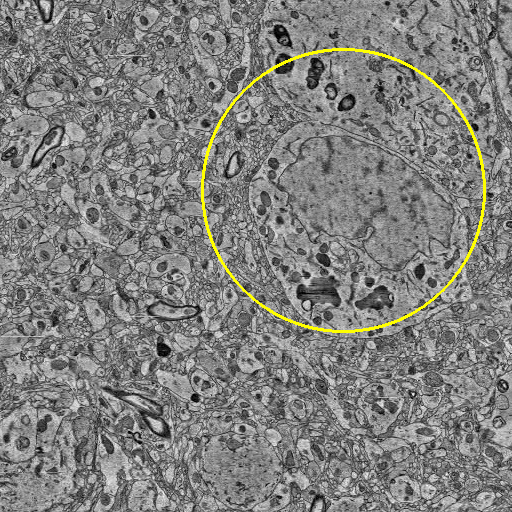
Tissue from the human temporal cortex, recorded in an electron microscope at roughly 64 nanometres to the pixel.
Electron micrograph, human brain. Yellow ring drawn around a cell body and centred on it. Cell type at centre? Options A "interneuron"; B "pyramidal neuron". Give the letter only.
A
